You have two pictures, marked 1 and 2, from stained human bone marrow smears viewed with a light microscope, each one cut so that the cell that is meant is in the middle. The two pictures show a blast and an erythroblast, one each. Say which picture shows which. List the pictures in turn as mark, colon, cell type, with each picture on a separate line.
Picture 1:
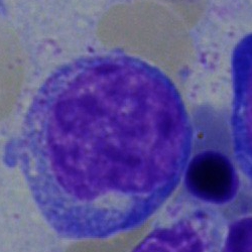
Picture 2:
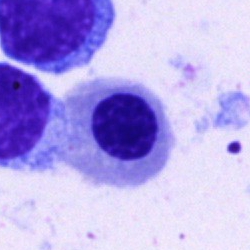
1: blast
2: erythroblast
